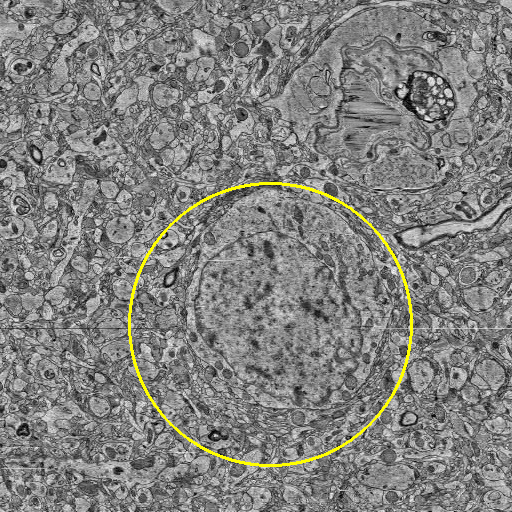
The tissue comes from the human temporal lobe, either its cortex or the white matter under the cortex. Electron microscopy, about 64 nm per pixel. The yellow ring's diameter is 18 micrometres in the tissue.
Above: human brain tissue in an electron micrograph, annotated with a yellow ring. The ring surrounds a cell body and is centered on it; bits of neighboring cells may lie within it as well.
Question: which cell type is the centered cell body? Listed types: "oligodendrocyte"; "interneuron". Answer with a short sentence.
The centered cell body is an interneuron.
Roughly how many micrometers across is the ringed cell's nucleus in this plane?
Approximately 12 micrometres long and 10 micrometres wide, in this plane.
